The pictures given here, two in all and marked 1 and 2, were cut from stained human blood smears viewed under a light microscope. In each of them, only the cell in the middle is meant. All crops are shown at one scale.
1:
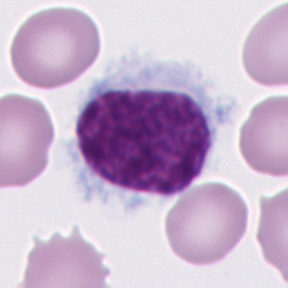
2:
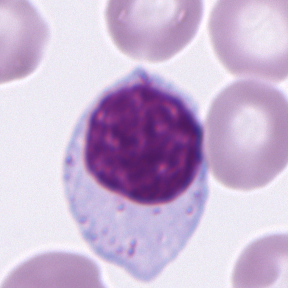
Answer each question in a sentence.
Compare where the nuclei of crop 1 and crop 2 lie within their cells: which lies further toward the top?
It is the nucleus in crop 2 that lies further toward the top of its cell.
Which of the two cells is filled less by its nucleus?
In crop 2 the nucleus takes up the smaller part of its cell.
